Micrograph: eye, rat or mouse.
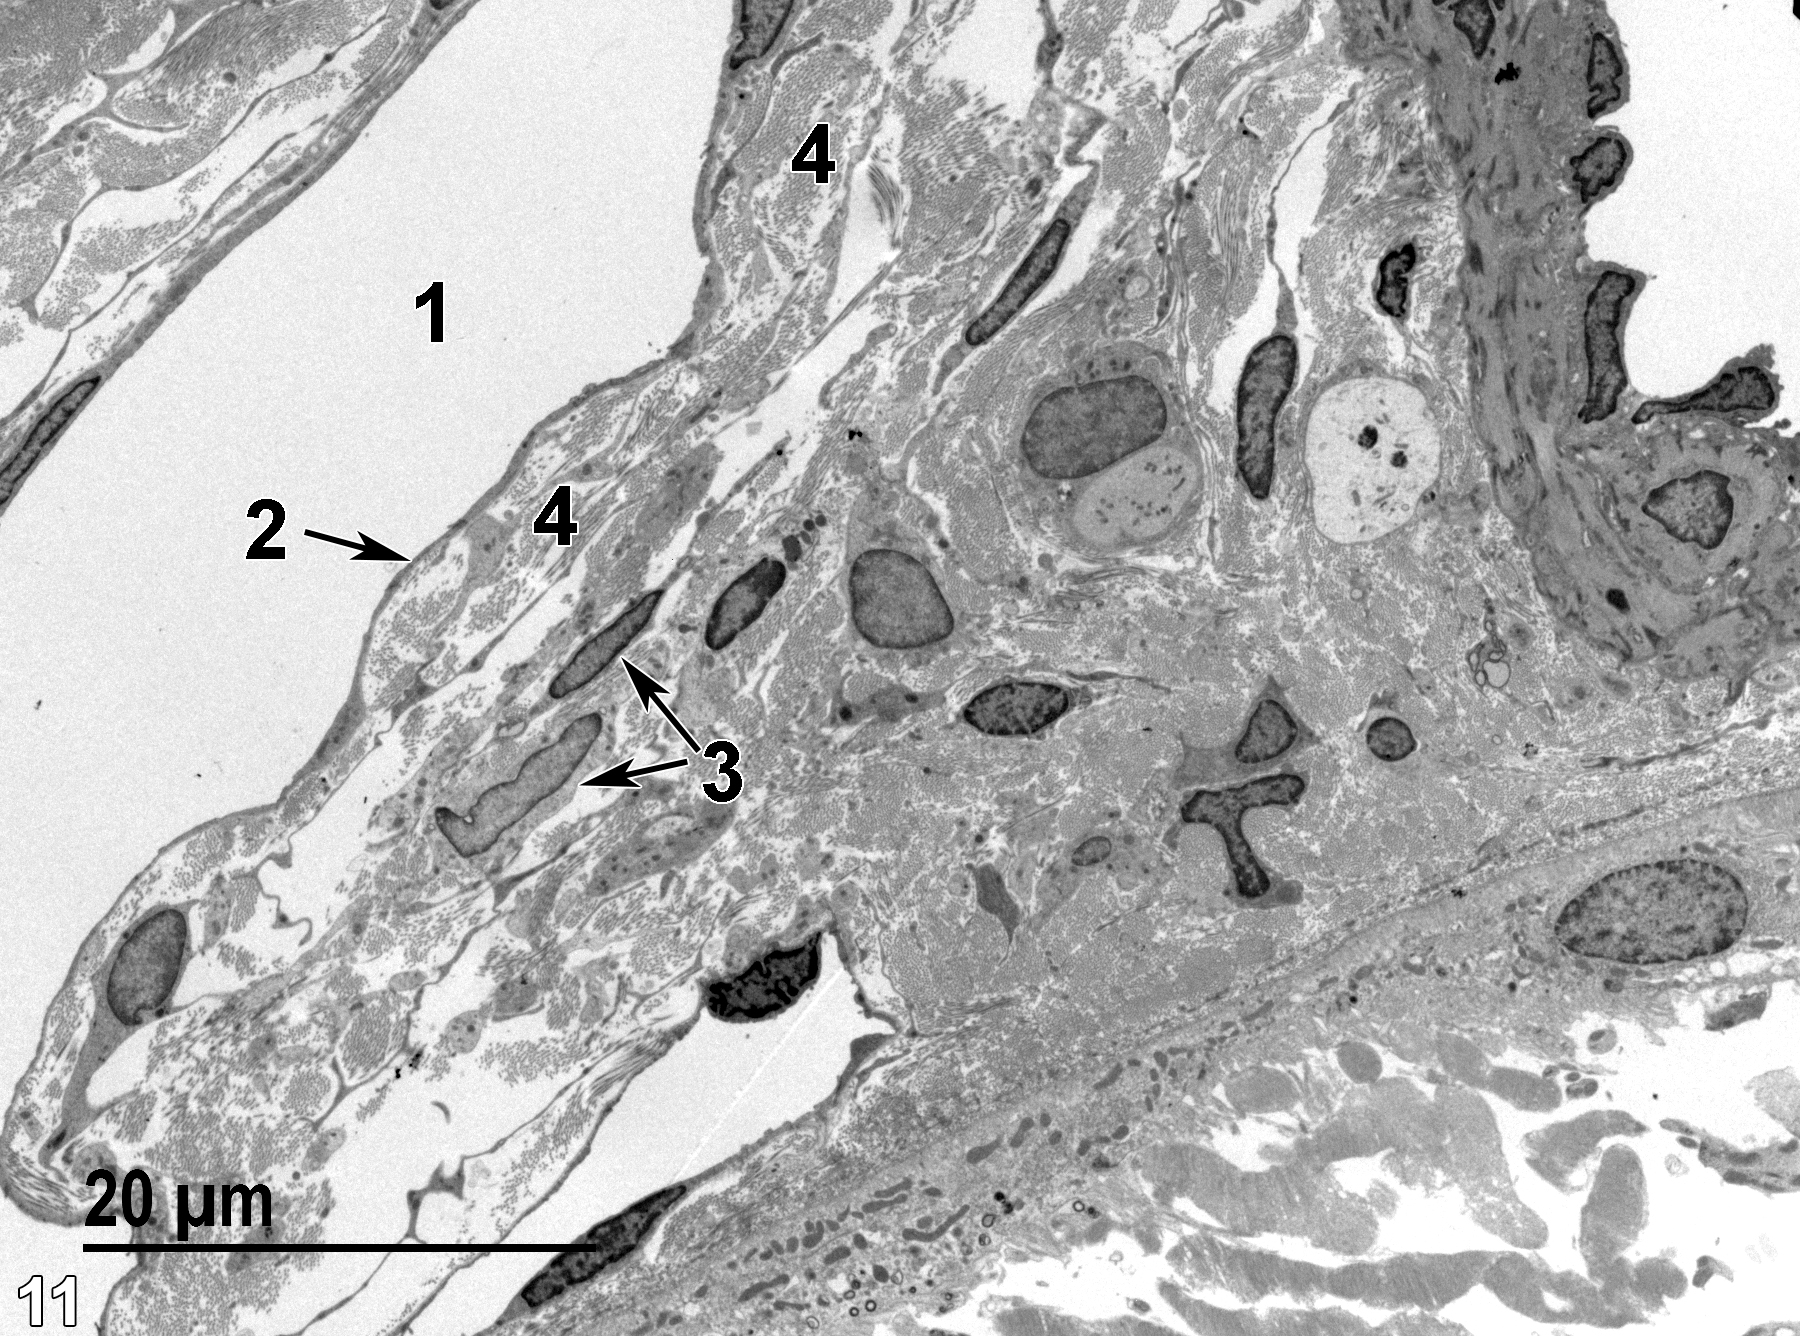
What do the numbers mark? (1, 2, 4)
1: schlemm’s canal
2: endothelium
4: collagen fibrils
